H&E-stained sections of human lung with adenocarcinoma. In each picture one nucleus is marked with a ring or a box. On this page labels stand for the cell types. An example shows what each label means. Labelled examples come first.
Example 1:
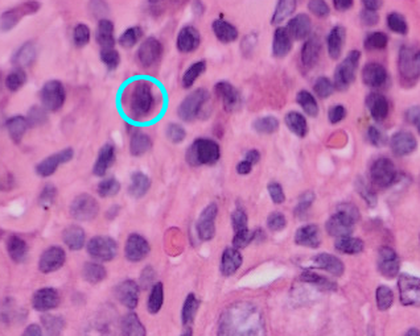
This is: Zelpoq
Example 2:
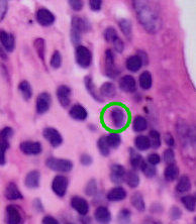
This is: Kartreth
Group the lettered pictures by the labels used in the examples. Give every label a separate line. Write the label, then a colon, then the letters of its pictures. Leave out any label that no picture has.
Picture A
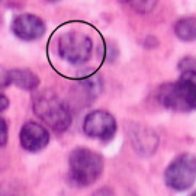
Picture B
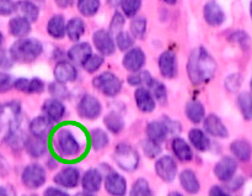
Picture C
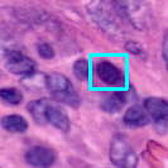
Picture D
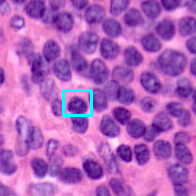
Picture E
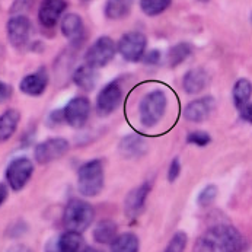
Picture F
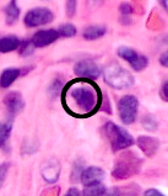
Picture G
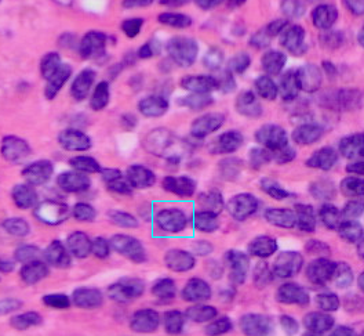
Zelpoq: C, F
Kartreth: A, B, D, E, G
